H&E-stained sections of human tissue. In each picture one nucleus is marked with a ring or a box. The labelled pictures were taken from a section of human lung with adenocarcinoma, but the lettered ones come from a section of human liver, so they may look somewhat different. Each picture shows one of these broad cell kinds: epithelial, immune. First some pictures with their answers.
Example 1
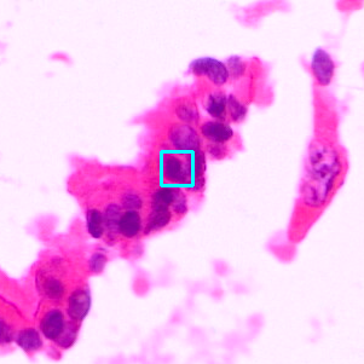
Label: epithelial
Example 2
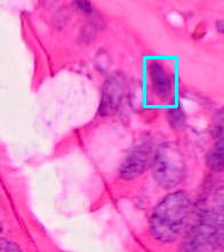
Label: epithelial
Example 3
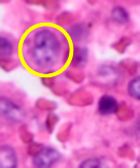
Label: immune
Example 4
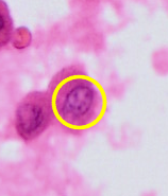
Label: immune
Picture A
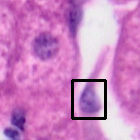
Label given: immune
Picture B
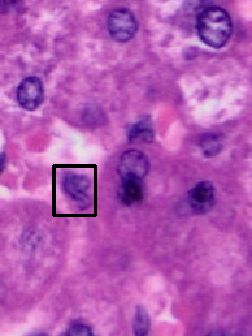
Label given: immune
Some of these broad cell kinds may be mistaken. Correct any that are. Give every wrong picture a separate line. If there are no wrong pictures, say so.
All labels are correct.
